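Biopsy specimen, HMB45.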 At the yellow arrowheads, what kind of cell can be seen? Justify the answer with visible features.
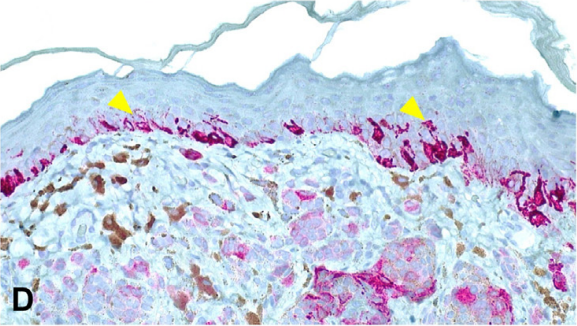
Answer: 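Junctional melanocytes. Red-stained cells sit along the junction of epidermis and dermis. The red-stained cells send branching processes up between keratinocytes.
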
